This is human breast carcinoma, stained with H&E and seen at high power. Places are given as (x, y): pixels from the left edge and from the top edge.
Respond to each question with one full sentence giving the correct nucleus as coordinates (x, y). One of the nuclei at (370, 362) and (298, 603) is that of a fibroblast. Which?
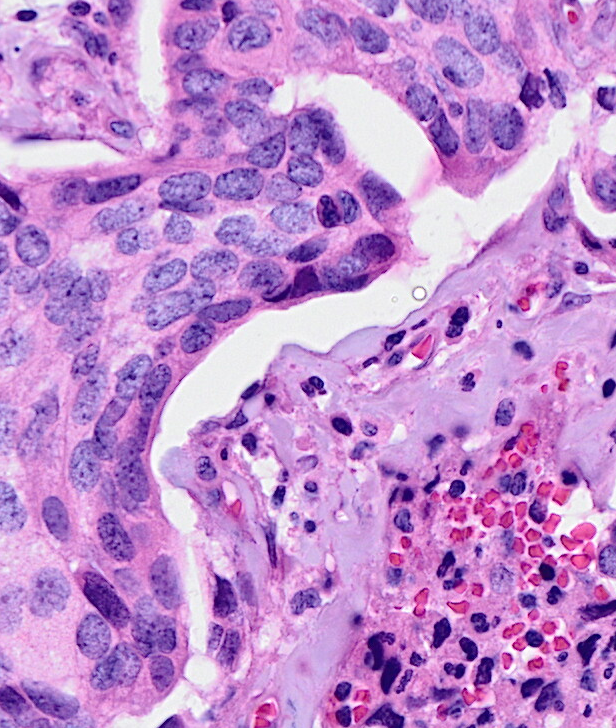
Housed in a fibroblast is the nucleus at (370, 362), not the other one.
